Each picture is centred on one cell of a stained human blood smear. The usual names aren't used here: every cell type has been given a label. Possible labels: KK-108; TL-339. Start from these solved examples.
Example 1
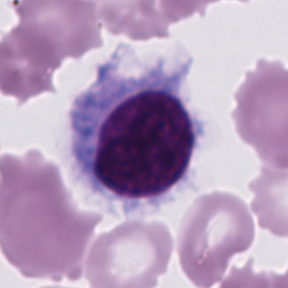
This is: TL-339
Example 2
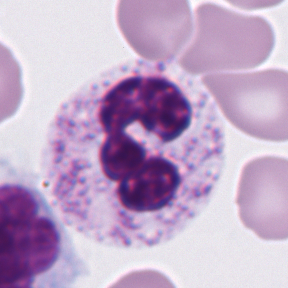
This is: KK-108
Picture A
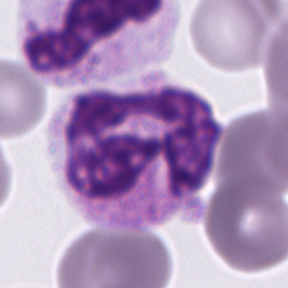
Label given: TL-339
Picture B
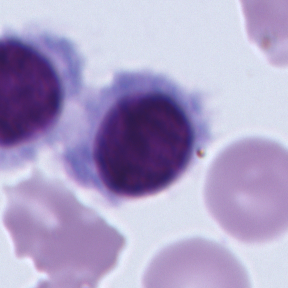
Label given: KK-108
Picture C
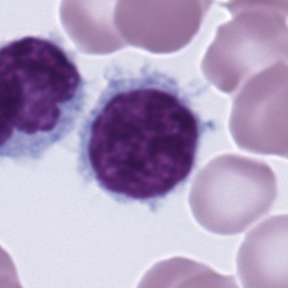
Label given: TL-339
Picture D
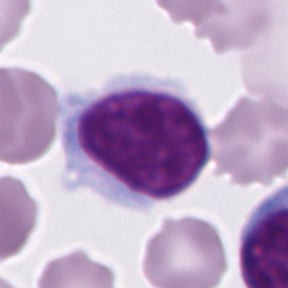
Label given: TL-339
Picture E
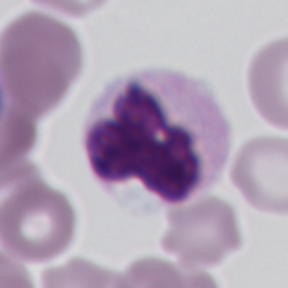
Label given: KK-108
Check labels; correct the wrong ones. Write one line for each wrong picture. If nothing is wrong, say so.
A: not TL-339 but KK-108
B: not KK-108 but TL-339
